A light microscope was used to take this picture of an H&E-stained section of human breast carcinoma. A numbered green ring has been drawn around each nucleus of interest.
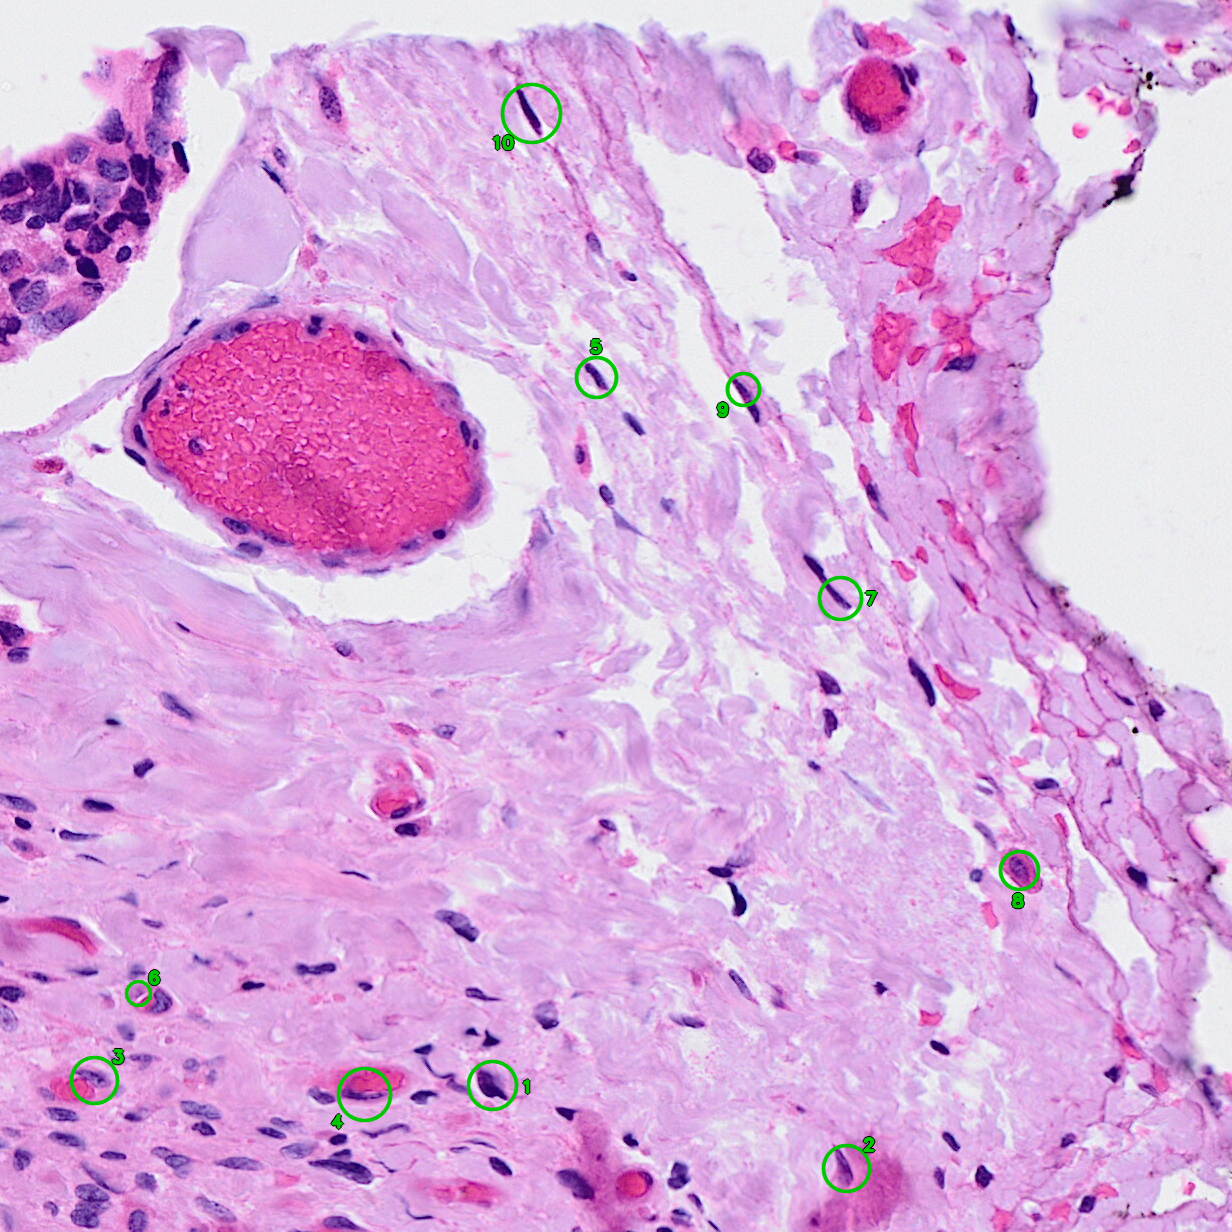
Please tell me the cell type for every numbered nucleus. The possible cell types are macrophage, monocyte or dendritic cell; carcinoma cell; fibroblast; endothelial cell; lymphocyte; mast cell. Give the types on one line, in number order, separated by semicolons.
fibroblast; fibroblast; endothelial cell; endothelial cell; fibroblast; endothelial cell; fibroblast; mast cell; fibroblast; fibroblast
